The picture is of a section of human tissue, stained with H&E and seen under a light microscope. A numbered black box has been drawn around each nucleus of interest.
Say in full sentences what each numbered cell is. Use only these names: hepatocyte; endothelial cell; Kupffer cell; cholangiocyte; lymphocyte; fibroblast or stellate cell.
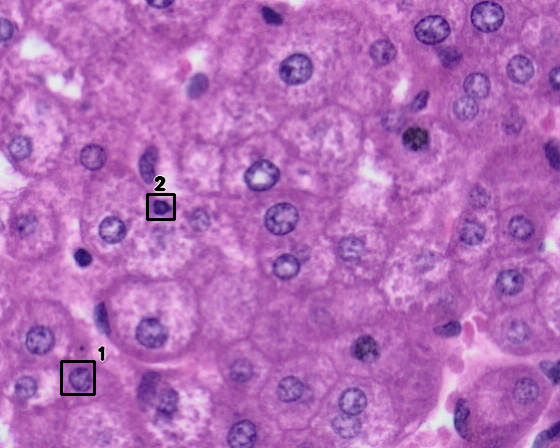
Cell 1 is a hepatocyte and cell 2 is a fibroblast or stellate cell.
